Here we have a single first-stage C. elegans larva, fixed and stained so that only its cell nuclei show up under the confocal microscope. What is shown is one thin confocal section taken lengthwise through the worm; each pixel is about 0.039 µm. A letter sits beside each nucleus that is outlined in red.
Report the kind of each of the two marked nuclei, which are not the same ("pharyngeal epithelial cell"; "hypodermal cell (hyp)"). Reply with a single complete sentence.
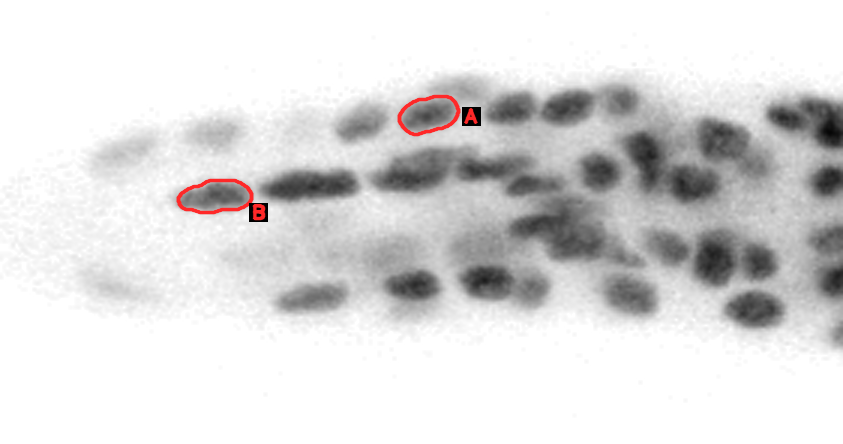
B belongs to a pharyngeal epithelial cell, and A to a hypodermal cell (hyp).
